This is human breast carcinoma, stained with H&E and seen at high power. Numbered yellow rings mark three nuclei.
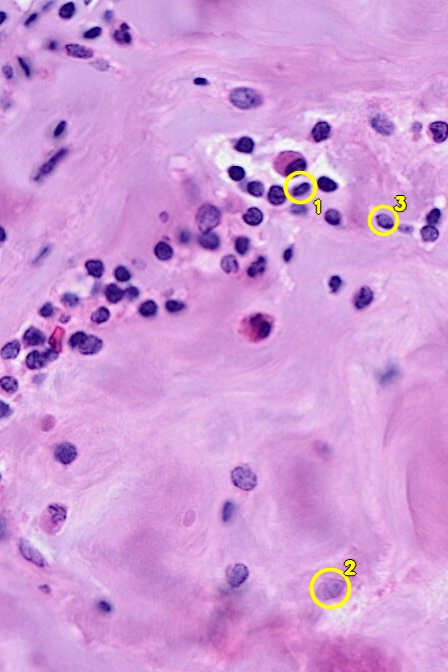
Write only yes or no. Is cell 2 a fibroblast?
yes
